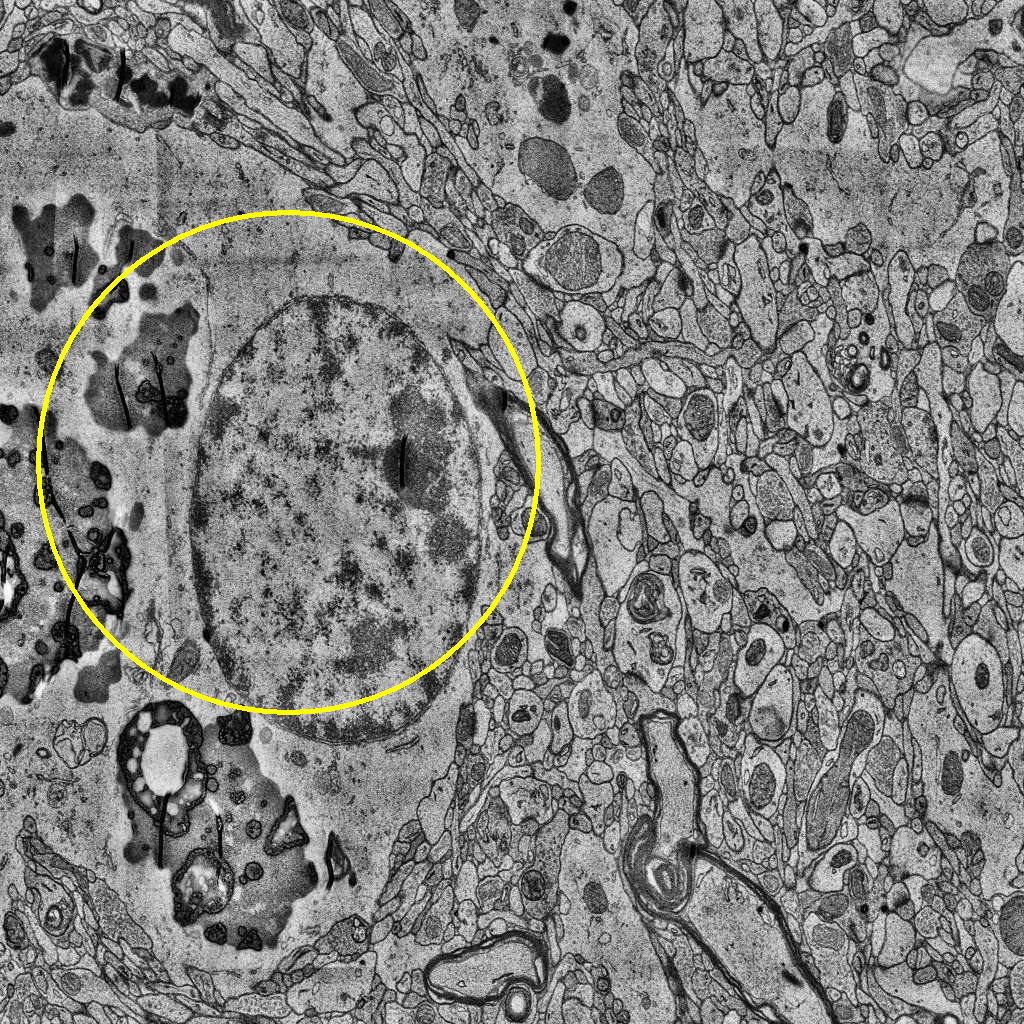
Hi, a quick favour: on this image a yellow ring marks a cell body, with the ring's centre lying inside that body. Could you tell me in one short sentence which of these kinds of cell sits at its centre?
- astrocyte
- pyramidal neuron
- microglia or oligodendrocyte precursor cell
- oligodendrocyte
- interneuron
The ring's centre lies in an astrocyte.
